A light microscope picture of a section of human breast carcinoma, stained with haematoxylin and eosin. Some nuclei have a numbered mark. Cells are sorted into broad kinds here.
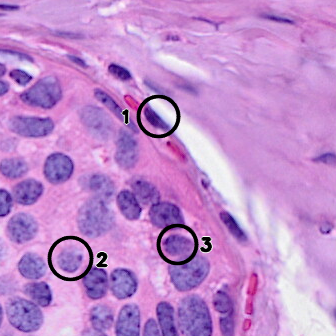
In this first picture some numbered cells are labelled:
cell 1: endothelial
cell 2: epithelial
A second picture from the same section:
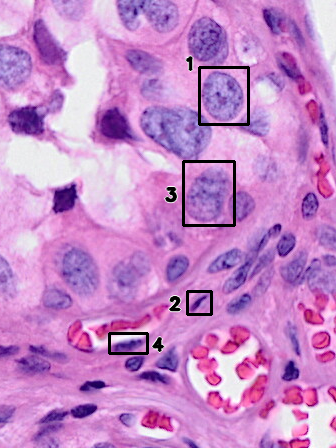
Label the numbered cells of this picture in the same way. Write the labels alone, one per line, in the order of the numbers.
epithelial
endothelial
epithelial
endothelial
